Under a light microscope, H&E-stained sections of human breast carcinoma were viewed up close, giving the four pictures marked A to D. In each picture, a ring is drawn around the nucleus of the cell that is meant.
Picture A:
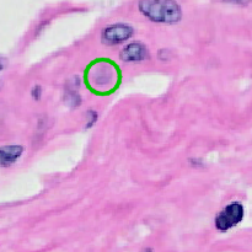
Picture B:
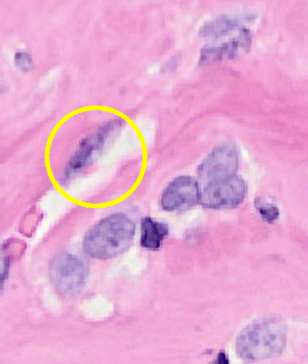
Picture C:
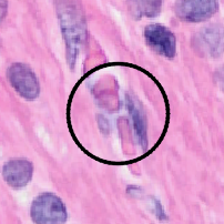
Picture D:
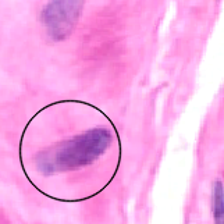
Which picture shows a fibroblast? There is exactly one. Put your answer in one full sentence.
The picture with the fibroblast is D.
